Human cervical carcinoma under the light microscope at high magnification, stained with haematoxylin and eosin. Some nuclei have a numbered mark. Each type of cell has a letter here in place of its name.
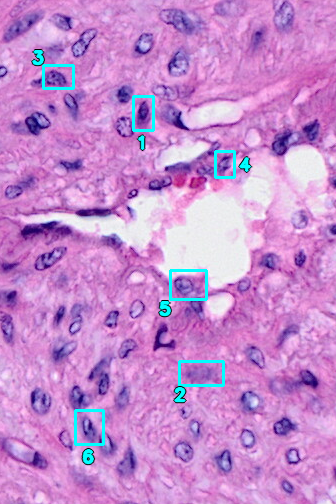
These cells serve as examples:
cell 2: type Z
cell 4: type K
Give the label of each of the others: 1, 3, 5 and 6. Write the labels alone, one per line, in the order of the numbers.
type Z
type Z
type K
type Z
